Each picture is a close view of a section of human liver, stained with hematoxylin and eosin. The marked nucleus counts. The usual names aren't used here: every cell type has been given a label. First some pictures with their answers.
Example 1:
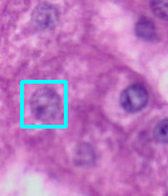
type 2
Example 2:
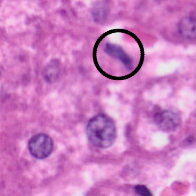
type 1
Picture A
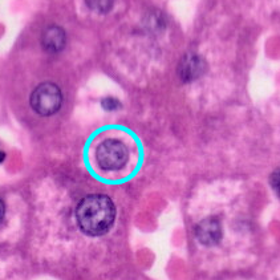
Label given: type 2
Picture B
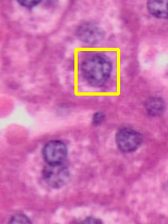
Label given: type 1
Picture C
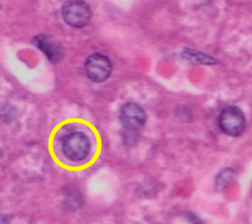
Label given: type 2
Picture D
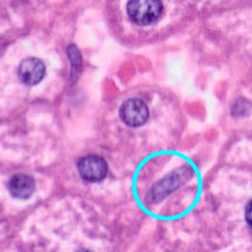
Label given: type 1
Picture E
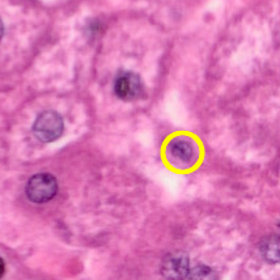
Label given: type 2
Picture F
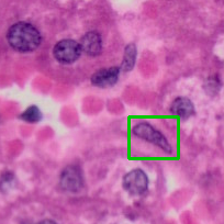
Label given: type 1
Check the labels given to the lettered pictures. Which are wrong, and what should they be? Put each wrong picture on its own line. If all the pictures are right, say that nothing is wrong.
Wrong: B (type 1); correct: type 2
Wrong: E (type 2); correct: type 1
